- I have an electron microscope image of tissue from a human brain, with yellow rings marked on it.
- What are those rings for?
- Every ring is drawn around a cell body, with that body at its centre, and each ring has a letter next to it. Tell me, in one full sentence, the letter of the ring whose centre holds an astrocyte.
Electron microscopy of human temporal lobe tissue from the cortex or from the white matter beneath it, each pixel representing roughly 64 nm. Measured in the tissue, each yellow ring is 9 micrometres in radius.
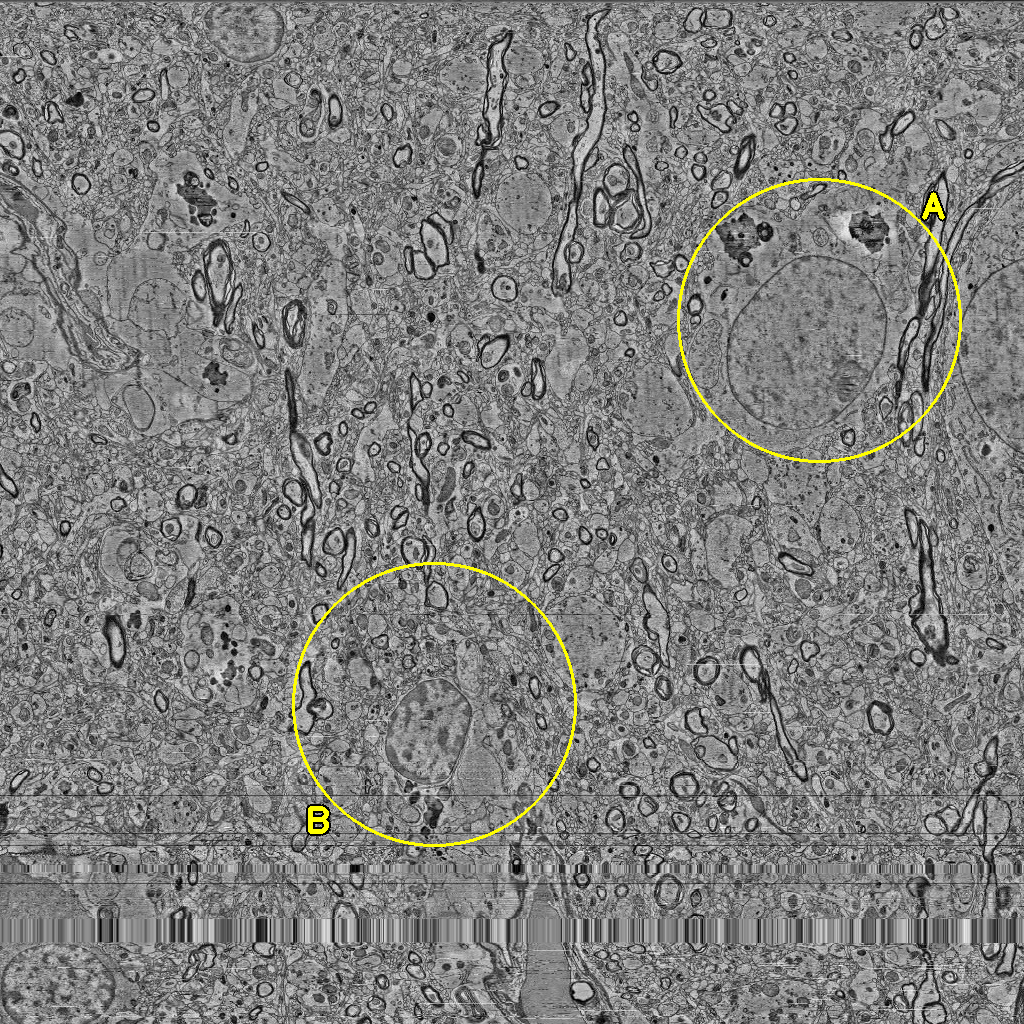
In the picture, the cell asked for sits at the centre of ring A.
